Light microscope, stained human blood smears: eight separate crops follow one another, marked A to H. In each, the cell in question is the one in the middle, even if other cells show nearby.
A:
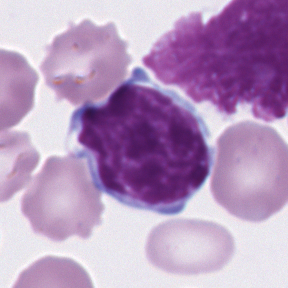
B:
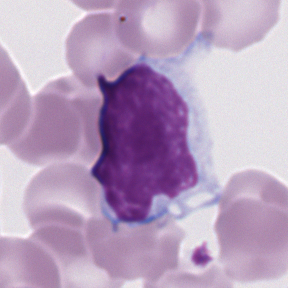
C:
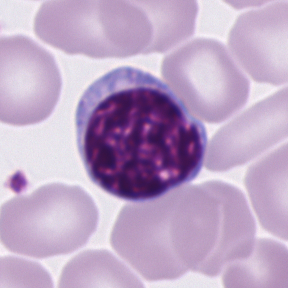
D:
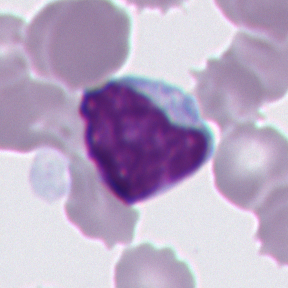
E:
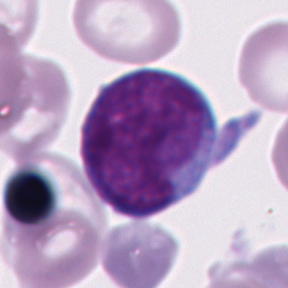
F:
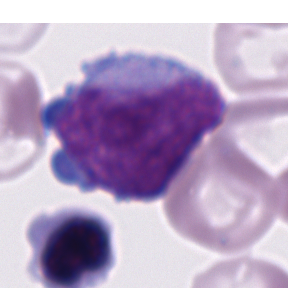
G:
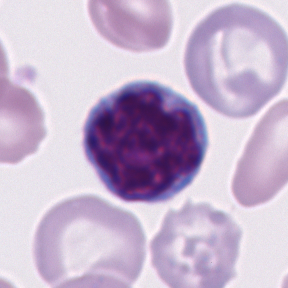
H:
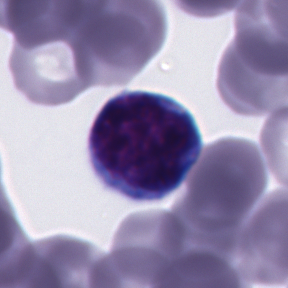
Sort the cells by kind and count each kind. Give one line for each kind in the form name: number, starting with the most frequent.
lymphocyte: 6
blast: 2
